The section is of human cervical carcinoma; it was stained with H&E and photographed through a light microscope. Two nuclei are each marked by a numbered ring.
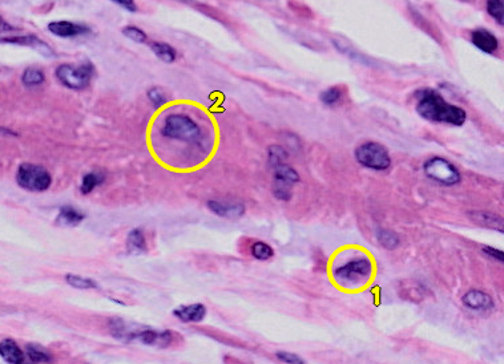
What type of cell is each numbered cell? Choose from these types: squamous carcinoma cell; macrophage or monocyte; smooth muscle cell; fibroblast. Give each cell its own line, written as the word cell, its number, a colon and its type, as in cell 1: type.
cell 1: macrophage or monocyte
cell 2: smooth muscle cell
